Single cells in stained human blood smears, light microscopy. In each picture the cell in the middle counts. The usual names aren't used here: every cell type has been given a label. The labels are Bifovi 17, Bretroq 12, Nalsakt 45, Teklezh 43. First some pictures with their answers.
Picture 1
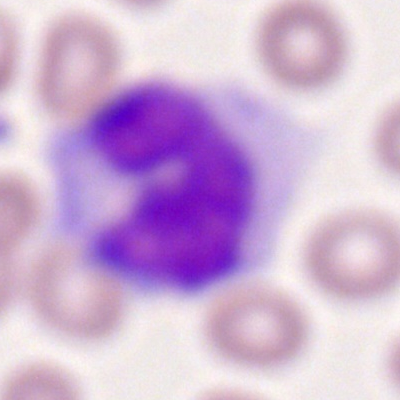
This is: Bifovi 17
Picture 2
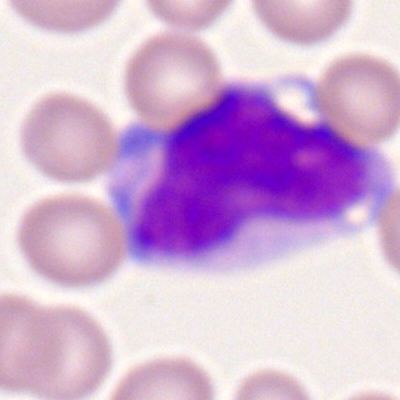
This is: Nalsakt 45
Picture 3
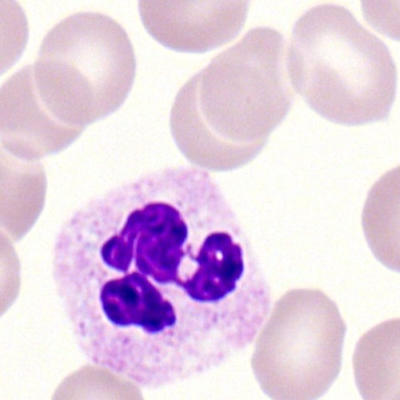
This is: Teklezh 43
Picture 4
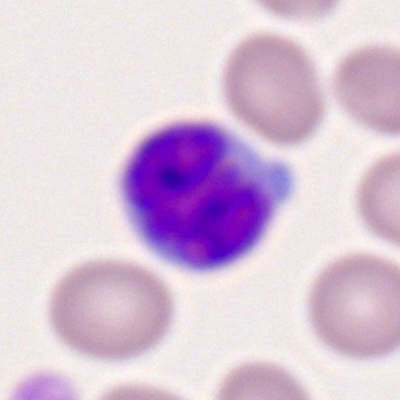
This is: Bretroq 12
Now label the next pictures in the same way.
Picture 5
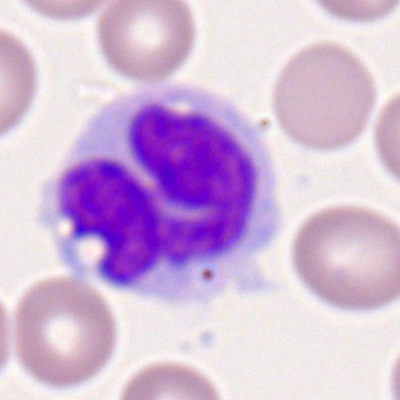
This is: Bifovi 17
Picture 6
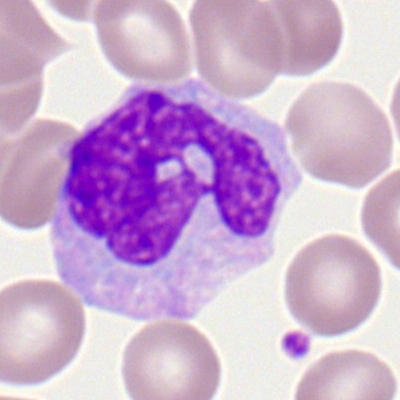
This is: Bifovi 17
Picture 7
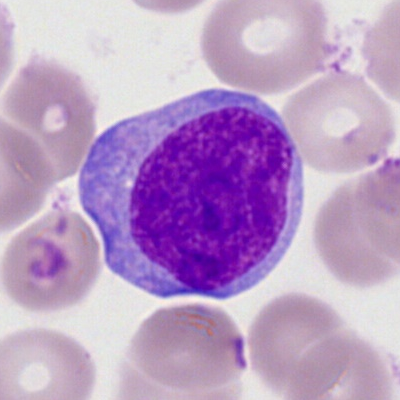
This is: Nalsakt 45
